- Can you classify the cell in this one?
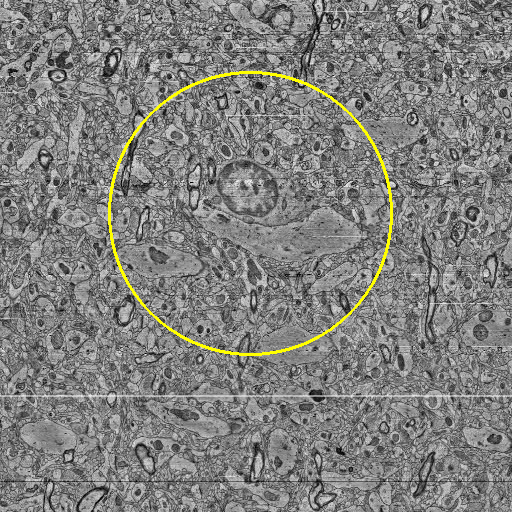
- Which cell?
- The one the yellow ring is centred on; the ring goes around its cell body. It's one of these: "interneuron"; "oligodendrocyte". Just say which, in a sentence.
The cell body in the ring belongs to an oligodendrocyte.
